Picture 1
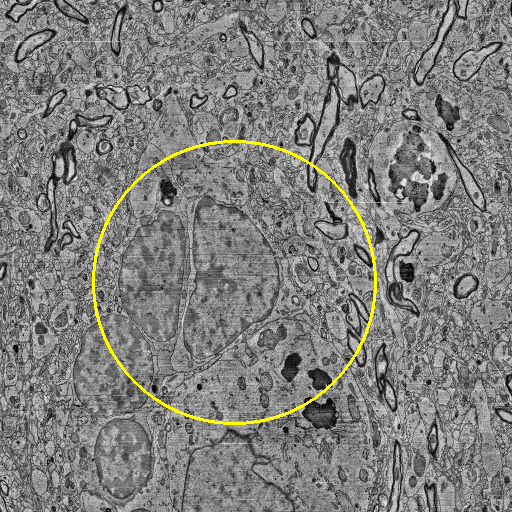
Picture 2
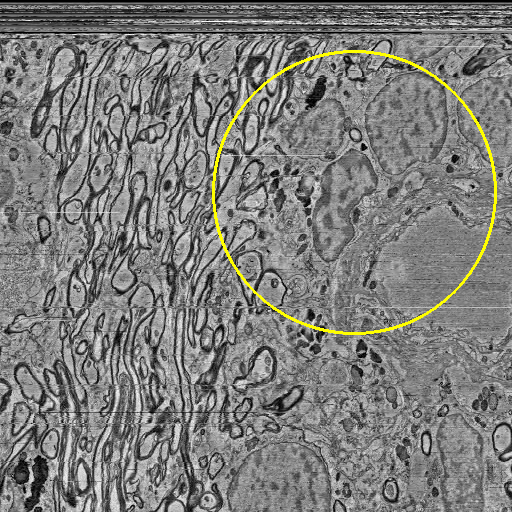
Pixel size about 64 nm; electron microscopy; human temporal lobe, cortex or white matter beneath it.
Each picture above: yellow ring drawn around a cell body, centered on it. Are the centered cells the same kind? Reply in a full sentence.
Yes, the two cells are the same kind.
